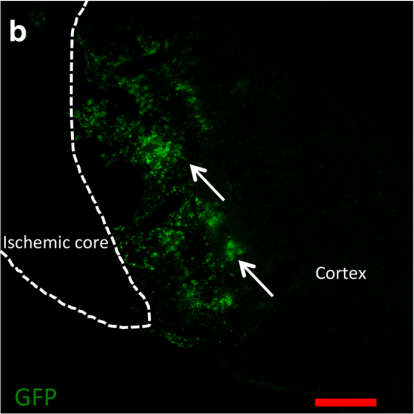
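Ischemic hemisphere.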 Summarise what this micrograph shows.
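This low-magnification fluorescence view of brain tissue shows many small, green, punctate cell profiles scattered in a broad band, against an otherwise dark background. The green cells gather densely along a curved dashed boundary that separates a dark region on the left from the cortex on the right. Further into the cortex the green profiles thin out and become sparse. Individual cells appear as granular green clusters, and the arrows point to two such clusters within the band.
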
